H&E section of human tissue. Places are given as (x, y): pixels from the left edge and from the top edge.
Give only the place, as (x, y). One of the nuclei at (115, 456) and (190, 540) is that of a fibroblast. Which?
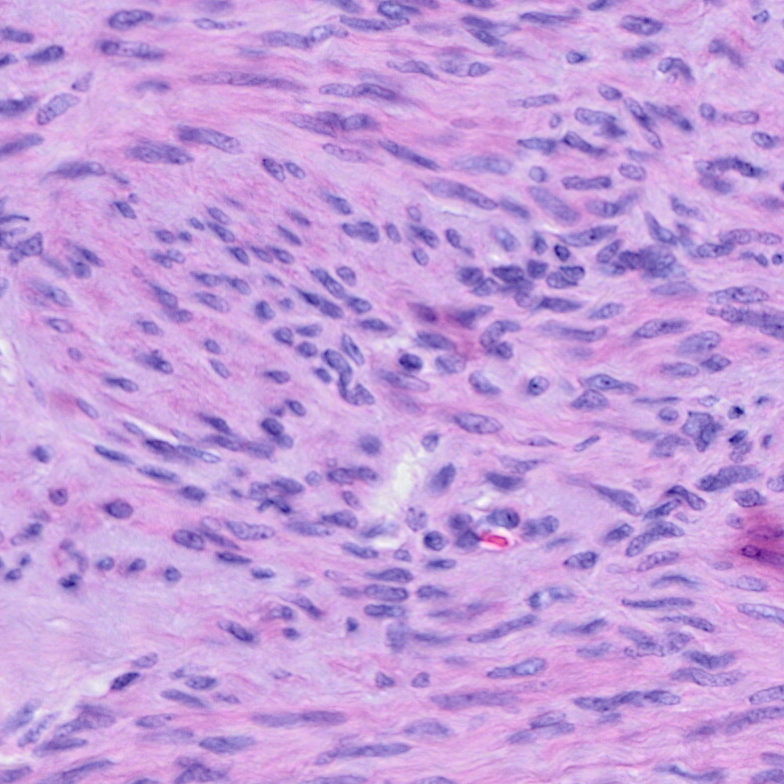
(115, 456)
